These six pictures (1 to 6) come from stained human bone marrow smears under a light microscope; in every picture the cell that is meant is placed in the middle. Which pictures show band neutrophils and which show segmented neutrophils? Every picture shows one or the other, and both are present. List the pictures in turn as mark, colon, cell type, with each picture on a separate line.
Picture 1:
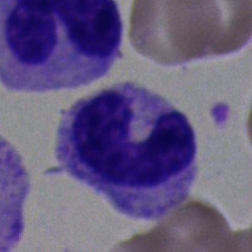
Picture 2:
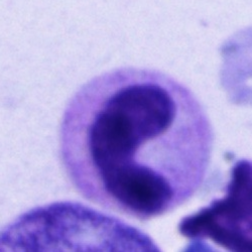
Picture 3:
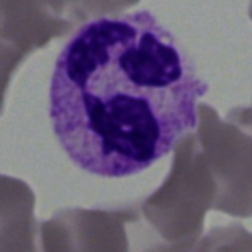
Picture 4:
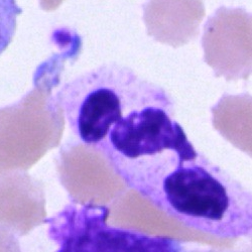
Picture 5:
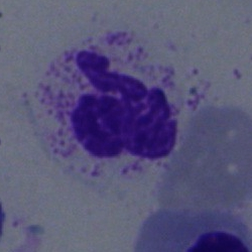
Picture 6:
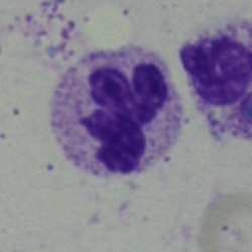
1: band neutrophil
2: band neutrophil
3: segmented neutrophil
4: segmented neutrophil
5: segmented neutrophil
6: segmented neutrophil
